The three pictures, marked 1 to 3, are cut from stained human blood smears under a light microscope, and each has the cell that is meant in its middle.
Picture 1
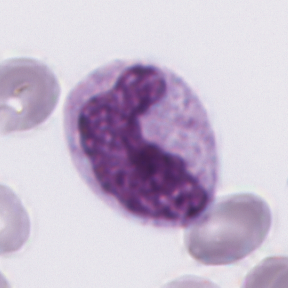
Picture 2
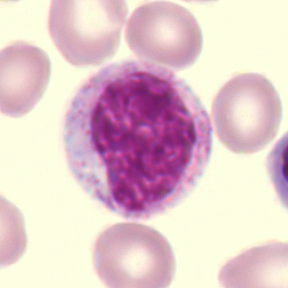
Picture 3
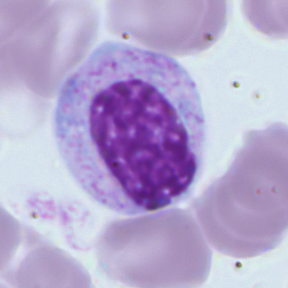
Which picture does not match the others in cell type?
1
